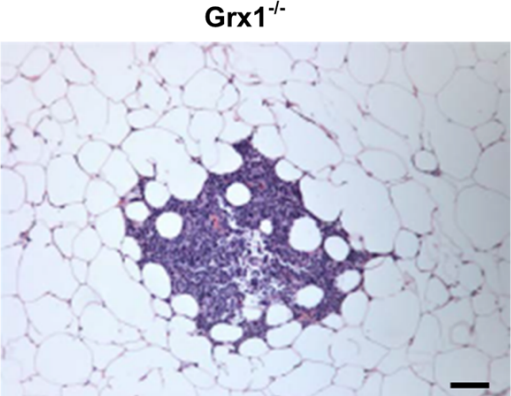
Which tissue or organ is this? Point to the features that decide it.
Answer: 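Adipose tissue. Large, clear, rounded cells with thin pink borders fill most of the field. A dense purple cluster of small nucleated cells lies among the large clear cells.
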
